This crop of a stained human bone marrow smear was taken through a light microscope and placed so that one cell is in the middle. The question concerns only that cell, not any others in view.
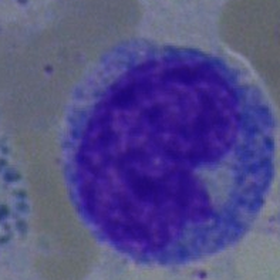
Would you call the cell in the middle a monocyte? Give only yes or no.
yes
